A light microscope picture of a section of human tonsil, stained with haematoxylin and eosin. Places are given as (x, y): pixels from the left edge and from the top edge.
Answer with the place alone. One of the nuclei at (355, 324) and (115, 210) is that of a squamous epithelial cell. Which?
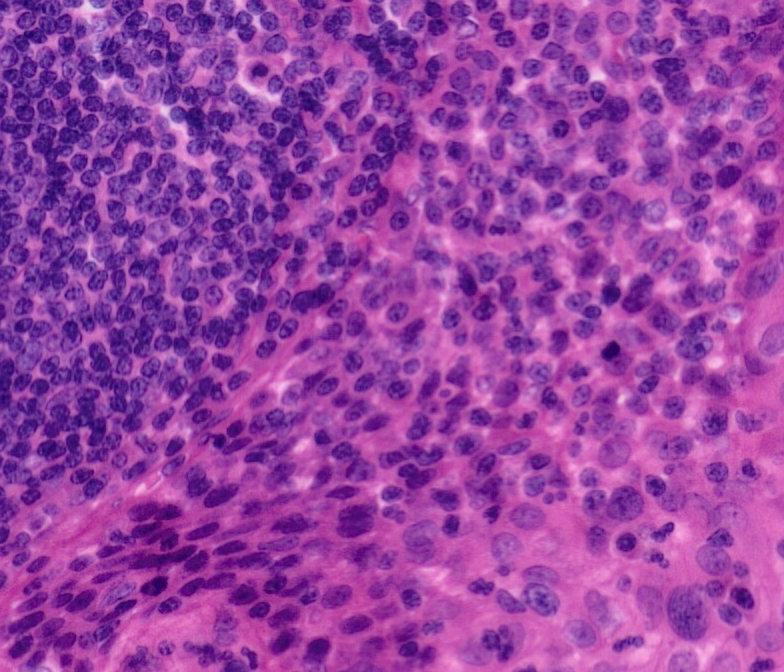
(355, 324)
